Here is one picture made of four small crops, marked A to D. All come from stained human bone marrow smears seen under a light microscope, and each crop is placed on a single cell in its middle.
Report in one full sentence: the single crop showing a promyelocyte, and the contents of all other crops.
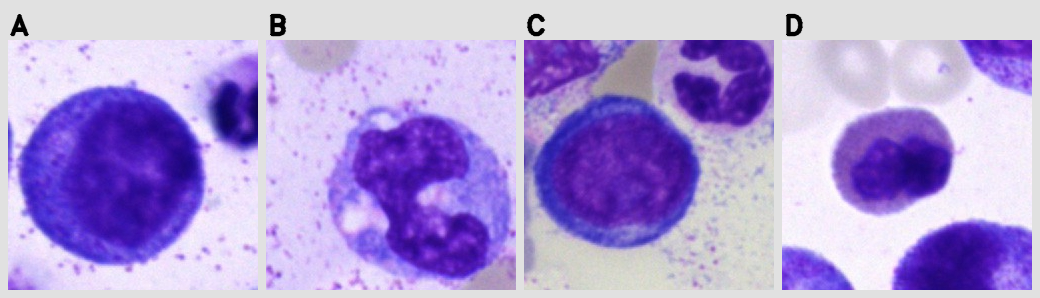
Crop A contains a promyelocyte; meanwhile, crop B is a monocyte, crop C is a proerythroblast and crop D is an eosinophil.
